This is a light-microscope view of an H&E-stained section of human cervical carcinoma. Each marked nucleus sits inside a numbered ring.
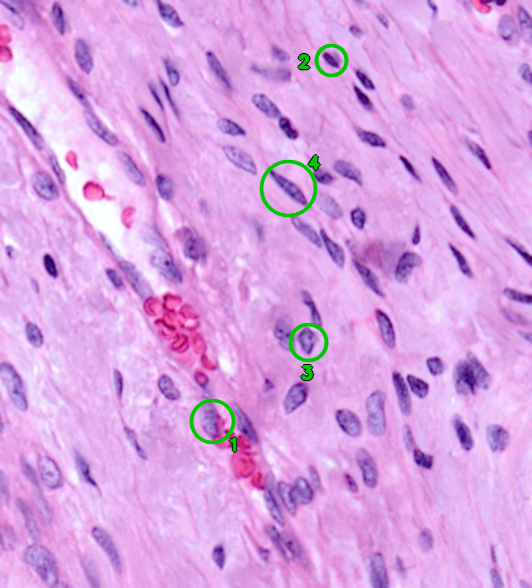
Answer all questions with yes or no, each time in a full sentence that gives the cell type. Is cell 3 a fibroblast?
Yes, the cell that goes by number 3 is a fibroblast.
